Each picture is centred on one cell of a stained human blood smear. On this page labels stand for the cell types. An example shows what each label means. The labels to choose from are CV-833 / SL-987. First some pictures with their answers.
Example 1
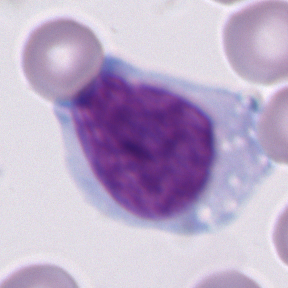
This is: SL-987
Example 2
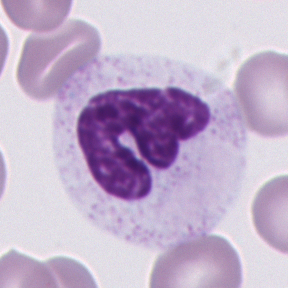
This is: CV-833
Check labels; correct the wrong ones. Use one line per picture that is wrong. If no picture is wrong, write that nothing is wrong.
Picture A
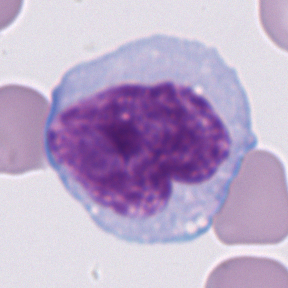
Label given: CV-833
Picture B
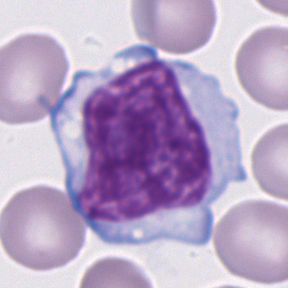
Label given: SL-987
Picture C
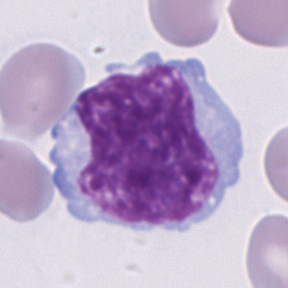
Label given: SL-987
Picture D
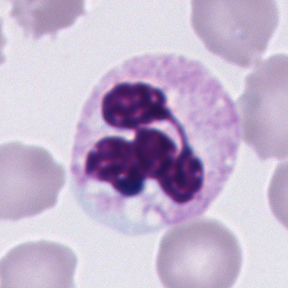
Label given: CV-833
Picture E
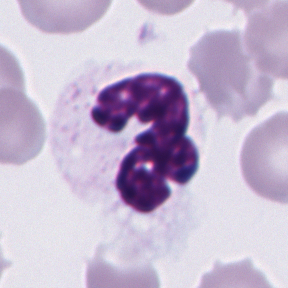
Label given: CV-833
A is labelled CV-833; correct label: SL-987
